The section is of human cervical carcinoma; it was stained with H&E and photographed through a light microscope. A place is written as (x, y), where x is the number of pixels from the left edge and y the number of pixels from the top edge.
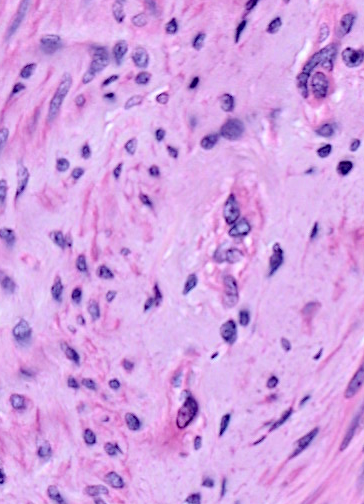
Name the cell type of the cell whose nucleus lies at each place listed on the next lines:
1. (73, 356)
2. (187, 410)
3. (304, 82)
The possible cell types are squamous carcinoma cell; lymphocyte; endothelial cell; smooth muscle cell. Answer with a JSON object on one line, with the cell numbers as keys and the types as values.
{"1": "smooth muscle cell", "2": "endothelial cell", "3": "endothelial cell"}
